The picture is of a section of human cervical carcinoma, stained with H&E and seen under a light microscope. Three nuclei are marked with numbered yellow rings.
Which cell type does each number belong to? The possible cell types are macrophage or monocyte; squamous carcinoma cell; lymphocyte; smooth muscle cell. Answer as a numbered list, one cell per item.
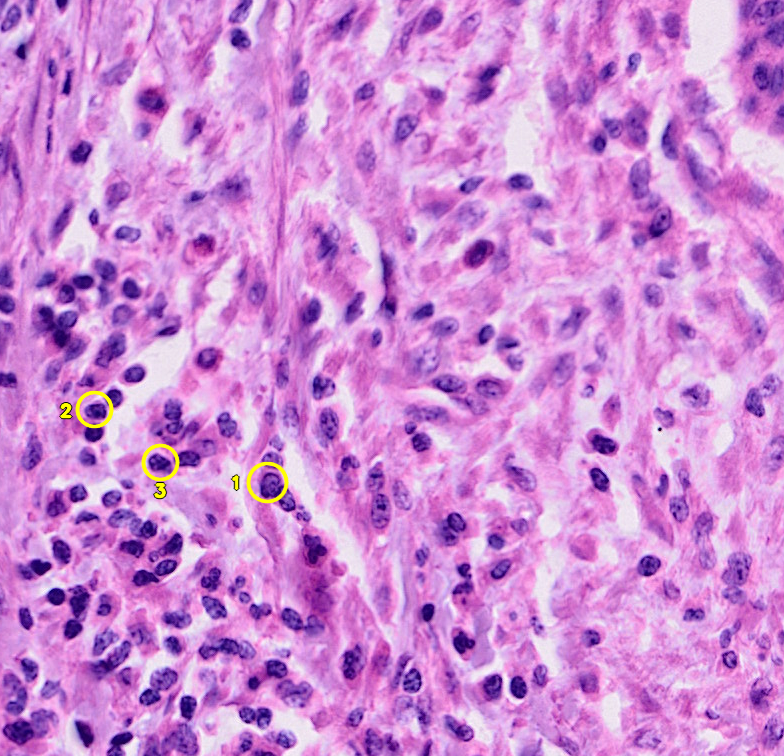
1. macrophage or monocyte
2. lymphocyte
3. lymphocyte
